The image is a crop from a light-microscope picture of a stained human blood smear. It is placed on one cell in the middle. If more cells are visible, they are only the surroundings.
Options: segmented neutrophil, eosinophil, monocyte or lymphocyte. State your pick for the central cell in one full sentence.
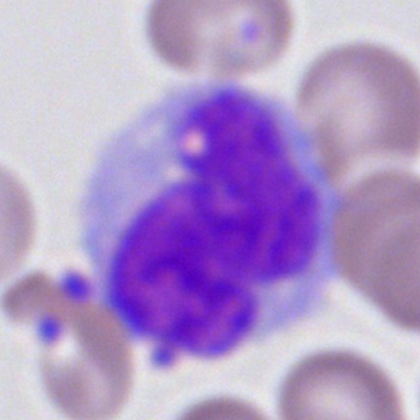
Present in the middle of the crop is a monocyte.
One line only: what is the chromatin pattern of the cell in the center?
Chromatin texture is fine, and coarse clumps are absent.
